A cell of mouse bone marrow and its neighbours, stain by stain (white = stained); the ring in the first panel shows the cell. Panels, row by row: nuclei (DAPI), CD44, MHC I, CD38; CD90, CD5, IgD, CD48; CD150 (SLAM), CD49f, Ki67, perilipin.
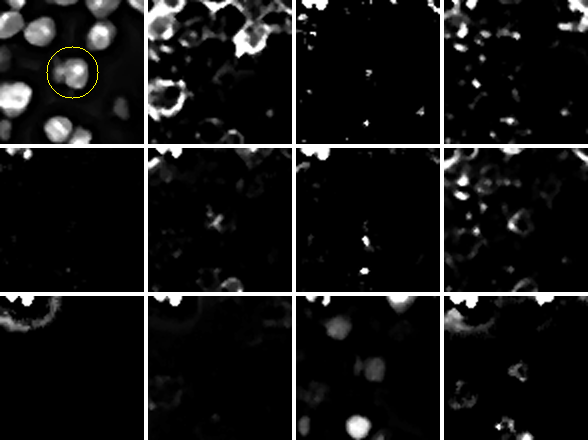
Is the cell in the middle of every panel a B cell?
Yes, it is a B cell.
